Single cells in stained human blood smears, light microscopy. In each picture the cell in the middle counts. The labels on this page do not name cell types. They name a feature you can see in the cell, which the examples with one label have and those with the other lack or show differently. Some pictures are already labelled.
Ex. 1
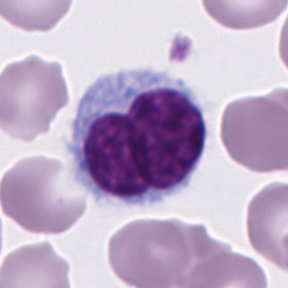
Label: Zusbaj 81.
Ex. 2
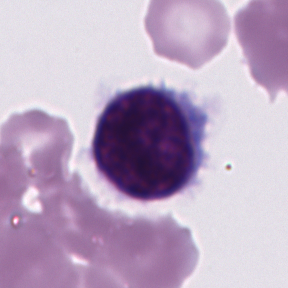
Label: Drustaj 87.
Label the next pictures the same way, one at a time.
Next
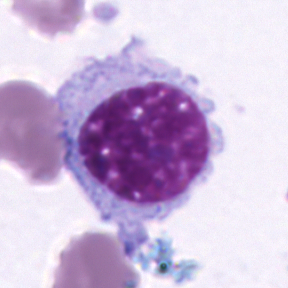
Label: Drustaj 87.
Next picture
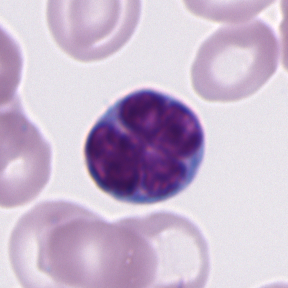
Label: Zusbaj 81.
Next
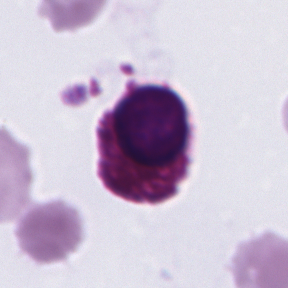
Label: Drustaj 87.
